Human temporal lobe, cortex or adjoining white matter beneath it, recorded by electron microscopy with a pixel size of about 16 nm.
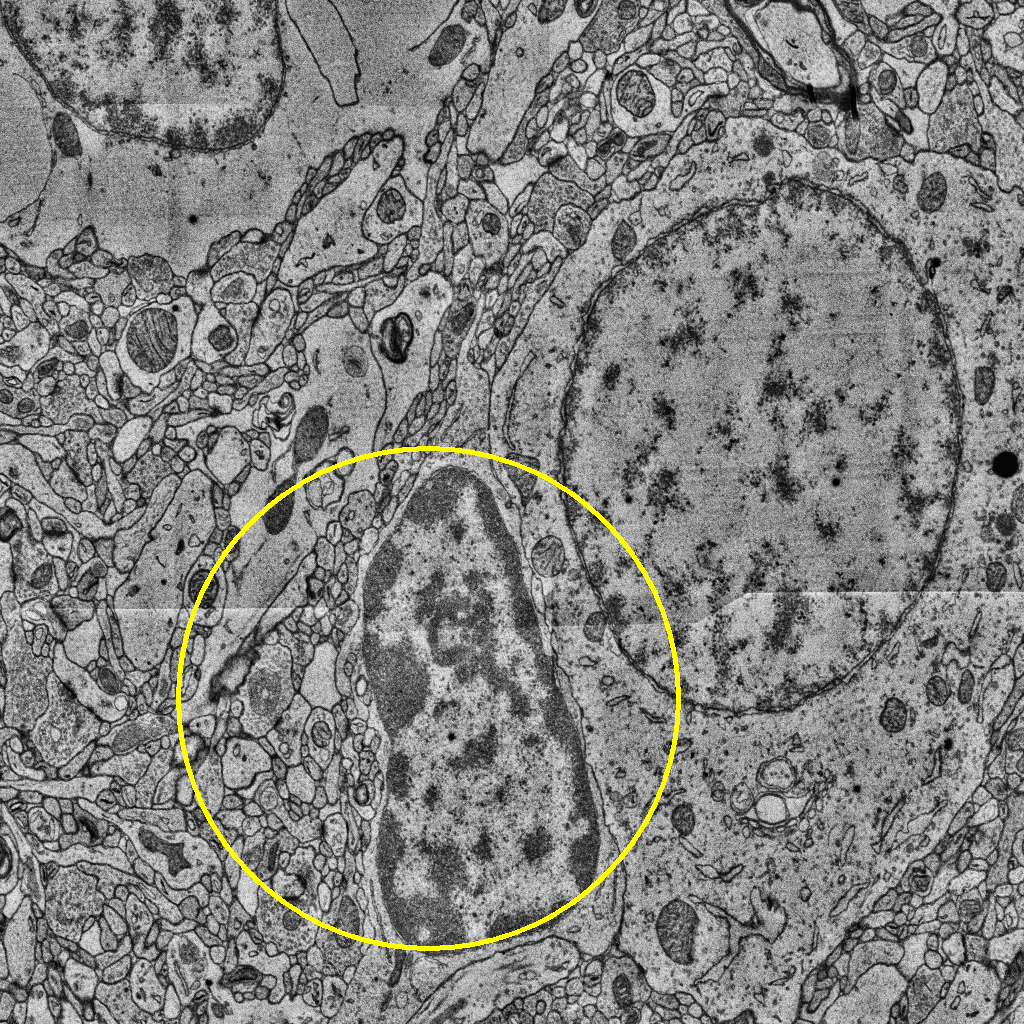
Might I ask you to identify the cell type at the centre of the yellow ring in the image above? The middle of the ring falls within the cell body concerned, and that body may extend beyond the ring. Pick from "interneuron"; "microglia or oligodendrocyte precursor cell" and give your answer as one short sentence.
The centre of the ring falls on a microglial cell or oligodendrocyte precursor cell.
